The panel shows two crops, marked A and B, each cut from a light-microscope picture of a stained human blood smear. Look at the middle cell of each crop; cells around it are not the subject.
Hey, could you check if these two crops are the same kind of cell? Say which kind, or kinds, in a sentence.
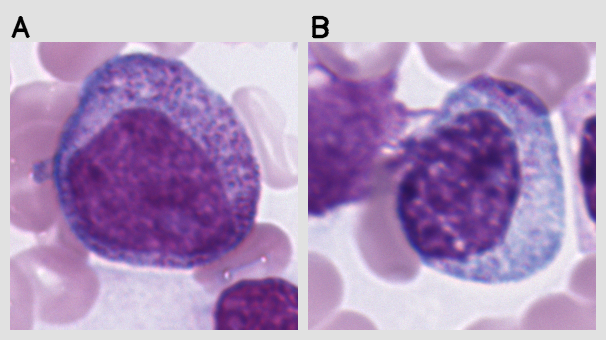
Yes, both crops show promyelocytes, and nothing else needs adding.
